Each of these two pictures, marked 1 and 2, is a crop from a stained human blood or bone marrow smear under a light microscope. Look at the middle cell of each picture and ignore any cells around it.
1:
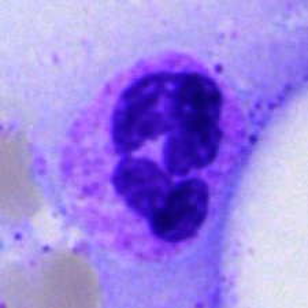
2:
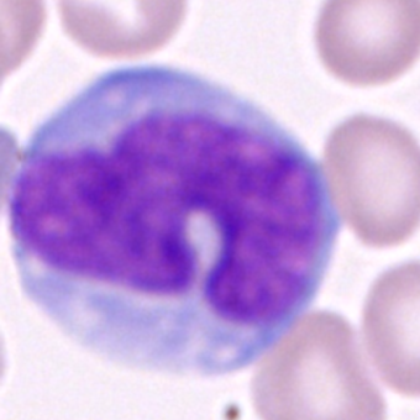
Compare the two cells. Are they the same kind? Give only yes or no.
no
